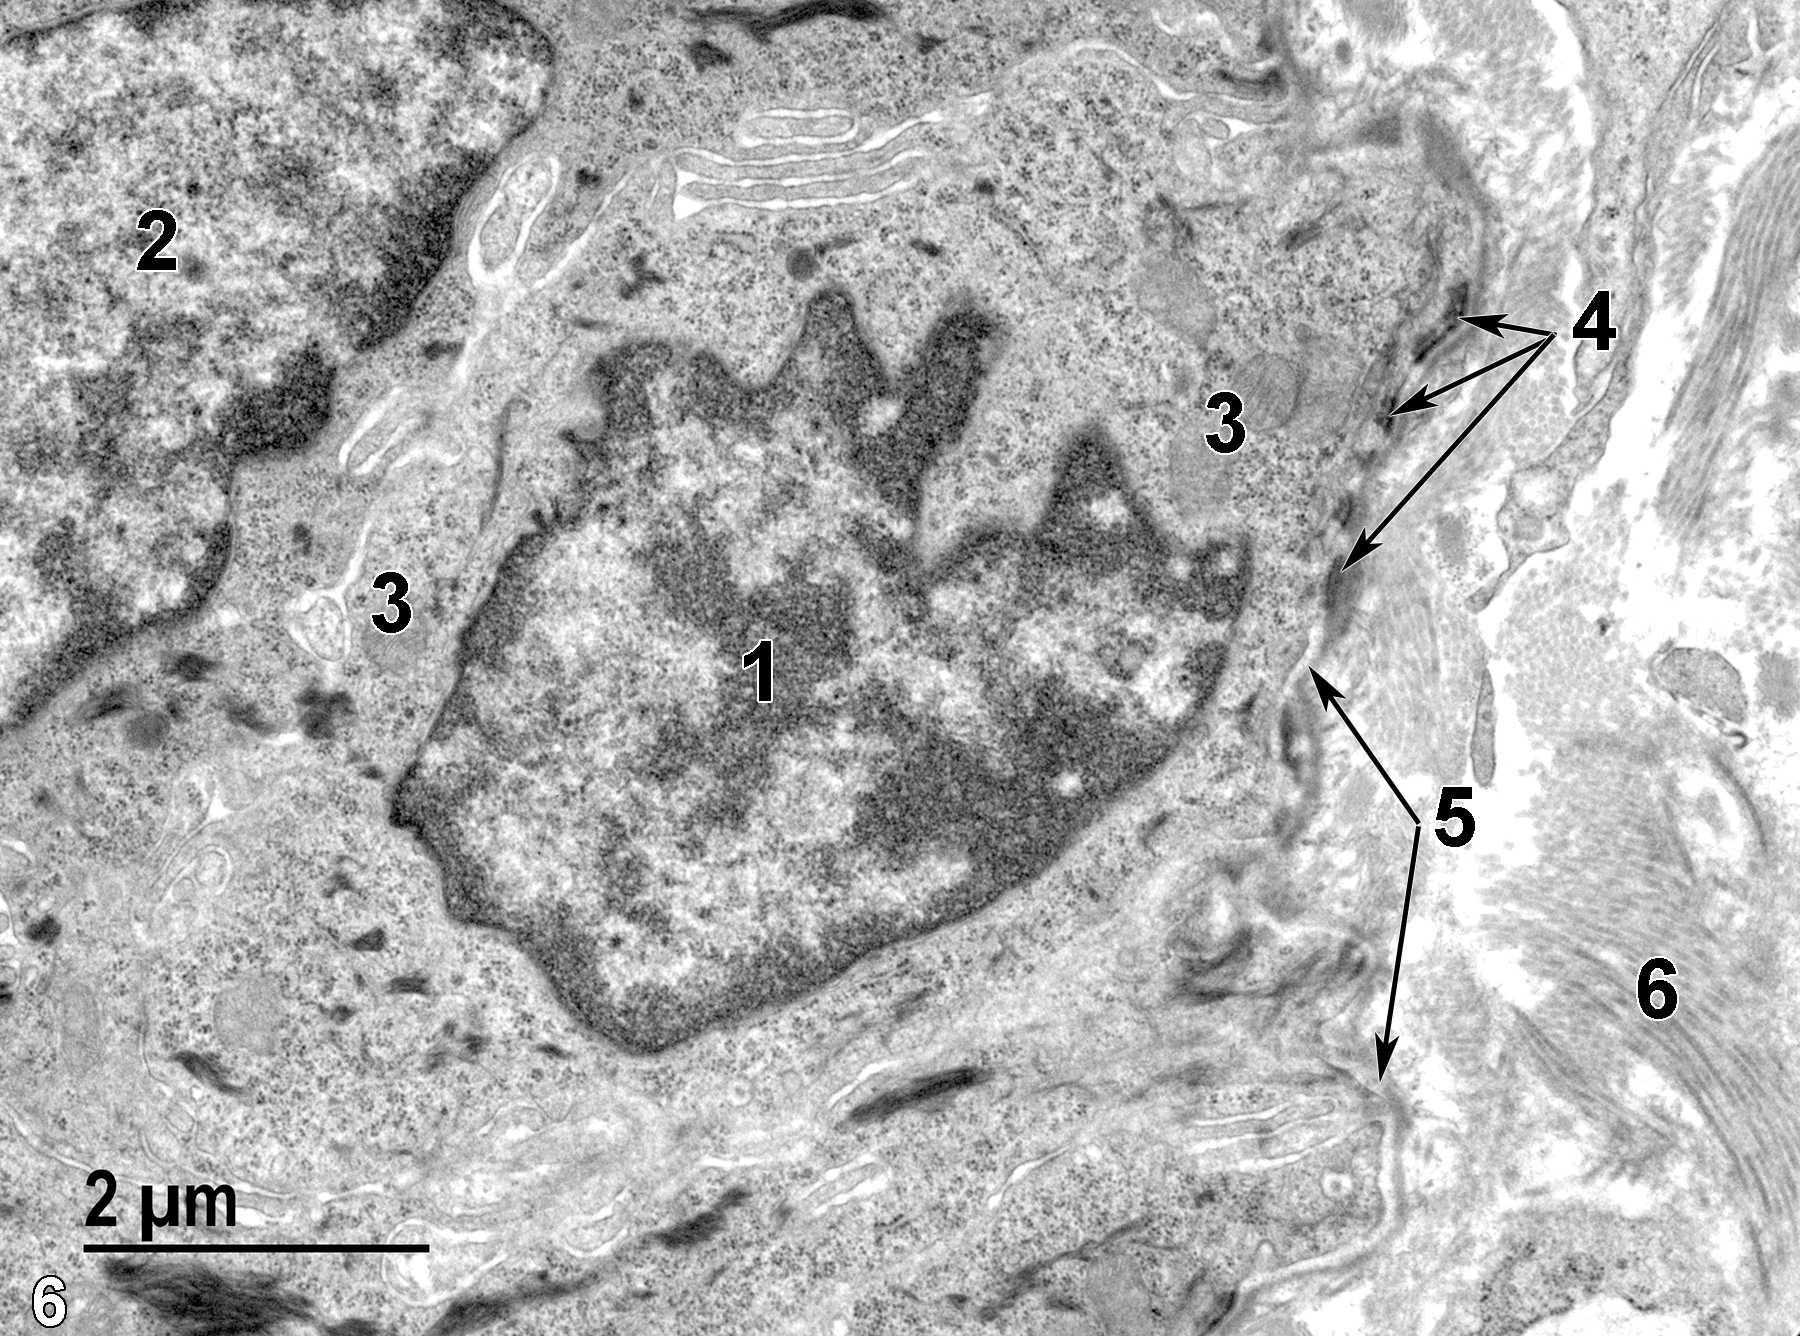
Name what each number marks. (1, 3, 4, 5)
1: nucleus of the basal cell
3: mitochondria
4: hemidesmosomes
5: basal lamina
